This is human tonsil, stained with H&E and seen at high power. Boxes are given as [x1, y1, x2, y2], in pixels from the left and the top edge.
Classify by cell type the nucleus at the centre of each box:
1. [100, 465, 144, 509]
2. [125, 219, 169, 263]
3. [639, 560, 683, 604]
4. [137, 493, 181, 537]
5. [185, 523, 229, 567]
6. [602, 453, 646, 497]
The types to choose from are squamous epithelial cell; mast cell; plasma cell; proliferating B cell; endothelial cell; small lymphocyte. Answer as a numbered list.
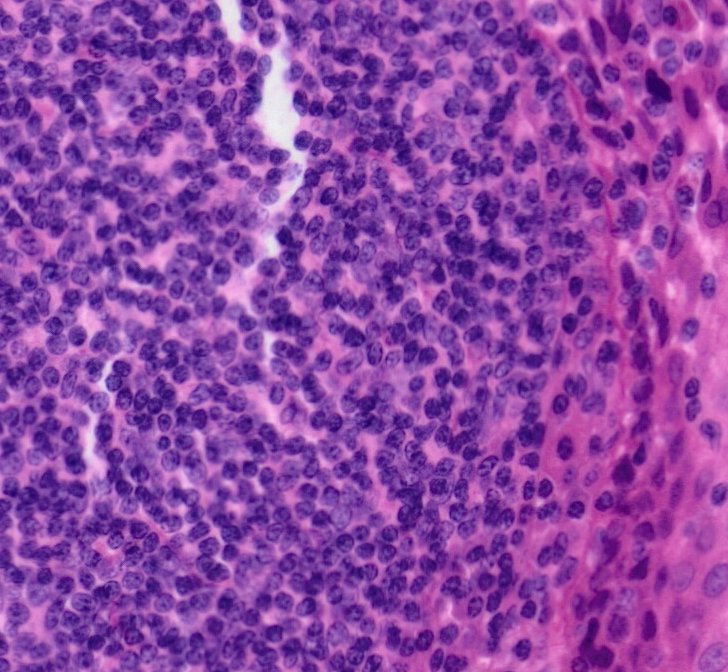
1. small lymphocyte
2. small lymphocyte
3. squamous epithelial cell
4. small lymphocyte
5. small lymphocyte
6. squamous epithelial cell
